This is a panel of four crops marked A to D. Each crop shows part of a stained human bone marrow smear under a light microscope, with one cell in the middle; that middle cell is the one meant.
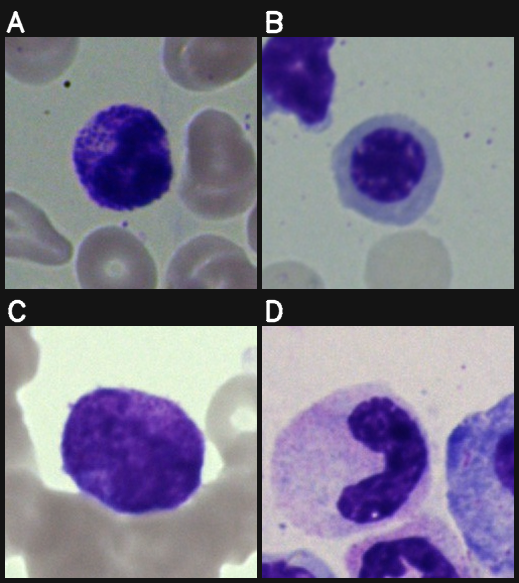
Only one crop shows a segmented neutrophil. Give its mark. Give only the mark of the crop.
A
